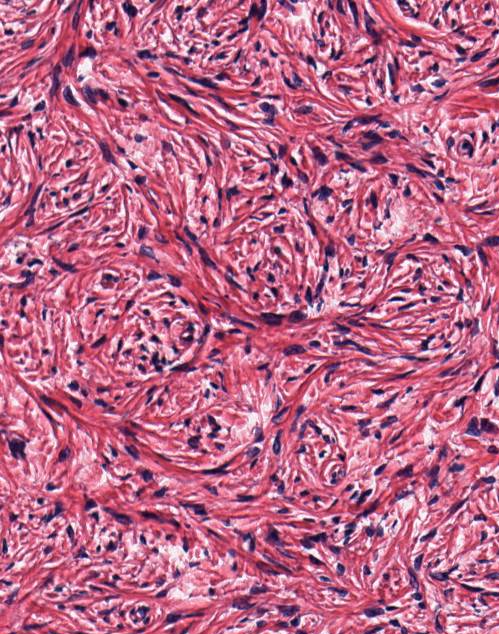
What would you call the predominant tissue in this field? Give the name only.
ovarian cortex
